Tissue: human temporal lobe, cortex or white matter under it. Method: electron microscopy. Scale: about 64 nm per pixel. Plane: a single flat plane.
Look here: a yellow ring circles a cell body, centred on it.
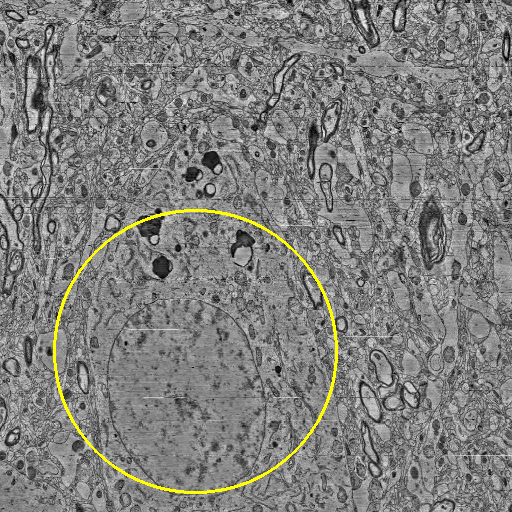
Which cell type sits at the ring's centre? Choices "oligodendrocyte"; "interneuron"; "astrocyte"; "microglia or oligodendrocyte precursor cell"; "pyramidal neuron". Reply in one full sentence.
The cell at the centre of the yellow ring in the picture is a pyramidal neuron.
